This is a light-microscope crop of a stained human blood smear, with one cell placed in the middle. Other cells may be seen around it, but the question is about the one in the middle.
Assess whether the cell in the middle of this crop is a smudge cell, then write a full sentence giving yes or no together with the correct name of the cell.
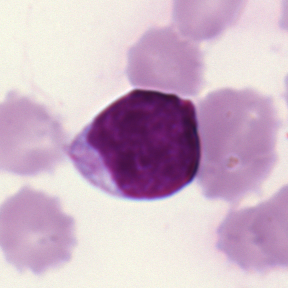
No, the cell in the middle is a myeloblast; it is not a smudge cell.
